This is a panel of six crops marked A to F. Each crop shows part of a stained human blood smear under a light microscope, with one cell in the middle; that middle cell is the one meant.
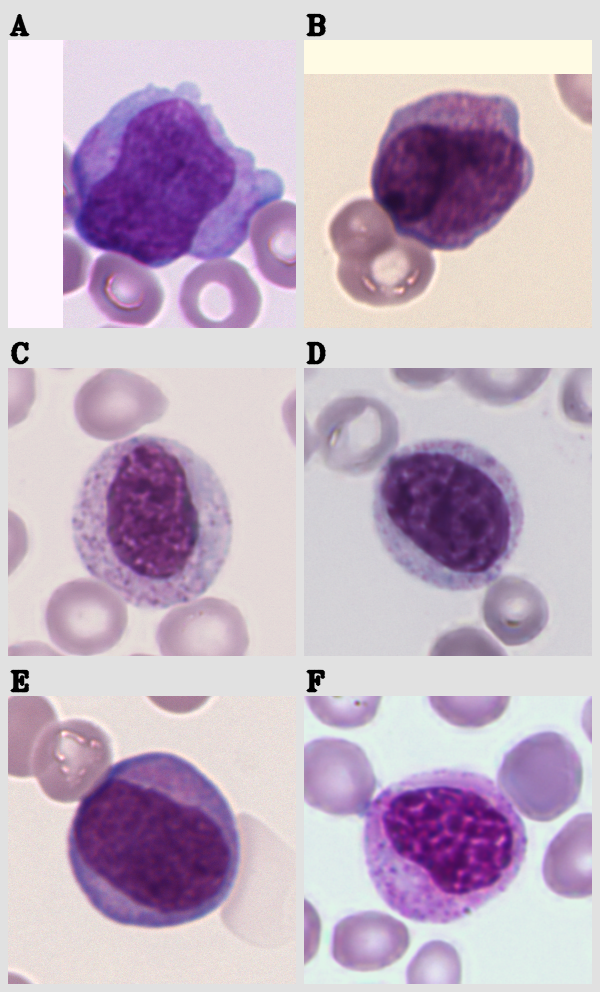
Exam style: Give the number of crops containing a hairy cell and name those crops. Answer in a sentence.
In the set of crops, hairy cells are not present, and the count is zero.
